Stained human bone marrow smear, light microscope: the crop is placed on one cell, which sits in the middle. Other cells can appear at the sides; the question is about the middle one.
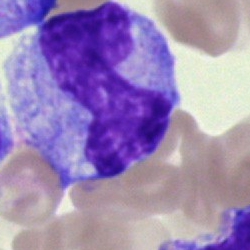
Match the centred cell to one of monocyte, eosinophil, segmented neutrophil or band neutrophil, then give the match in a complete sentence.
Classification of the middle cell gives a monocyte.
